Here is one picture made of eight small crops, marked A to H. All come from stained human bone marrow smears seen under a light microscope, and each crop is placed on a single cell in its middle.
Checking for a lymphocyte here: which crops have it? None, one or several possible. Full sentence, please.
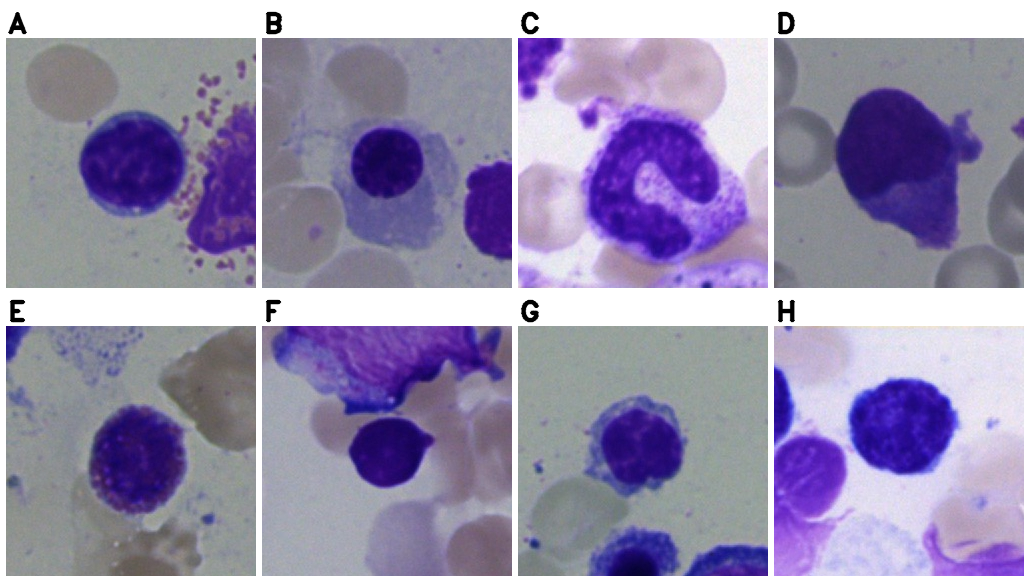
In crops A, F and H, lymphocytes occupy the centre.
